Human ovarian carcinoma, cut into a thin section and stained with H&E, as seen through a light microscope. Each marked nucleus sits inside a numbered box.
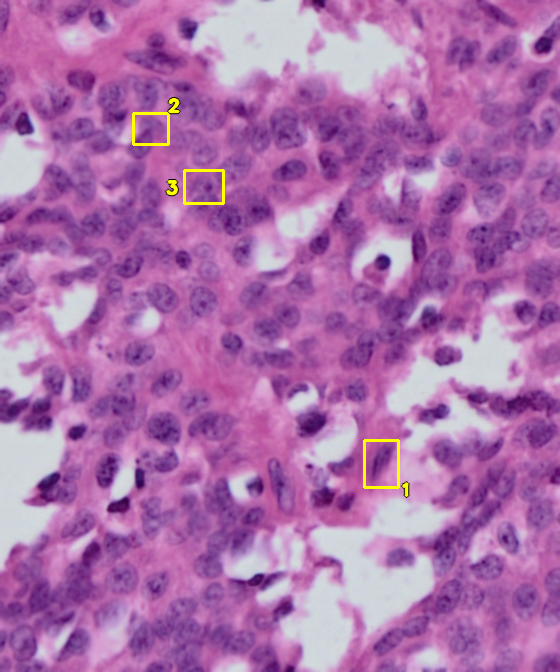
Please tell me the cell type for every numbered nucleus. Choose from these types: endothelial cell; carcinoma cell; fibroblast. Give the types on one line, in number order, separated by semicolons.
endothelial cell; carcinoma cell; carcinoma cell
